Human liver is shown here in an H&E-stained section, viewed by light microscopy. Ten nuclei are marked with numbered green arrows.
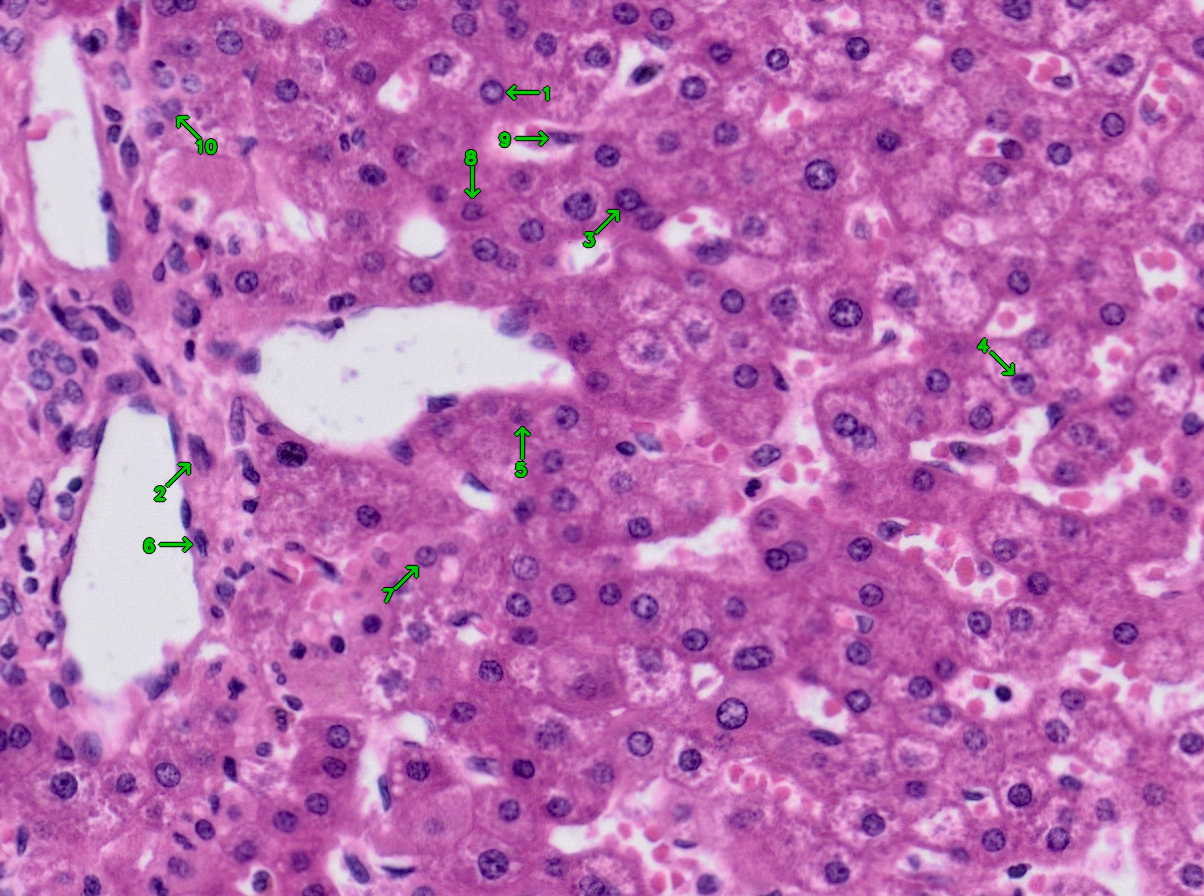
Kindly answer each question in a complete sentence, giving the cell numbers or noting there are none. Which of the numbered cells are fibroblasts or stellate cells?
The cells picked out by numbers 2 and 6 are fibroblasts or stellate cells.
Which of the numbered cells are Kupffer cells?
None but cell 9 among the numbered cells is a Kupffer cell.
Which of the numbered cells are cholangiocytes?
As for the numbered cells, only cell 10 is a cholangiocyte.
